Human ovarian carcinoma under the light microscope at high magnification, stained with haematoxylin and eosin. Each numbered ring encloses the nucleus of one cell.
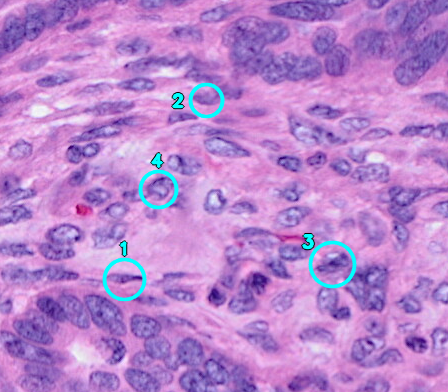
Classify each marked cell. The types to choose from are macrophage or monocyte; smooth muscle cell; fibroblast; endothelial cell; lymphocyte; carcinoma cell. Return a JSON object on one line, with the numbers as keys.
{"1": "fibroblast", "2": "fibroblast", "3": "endothelial cell", "4": "endothelial cell"}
